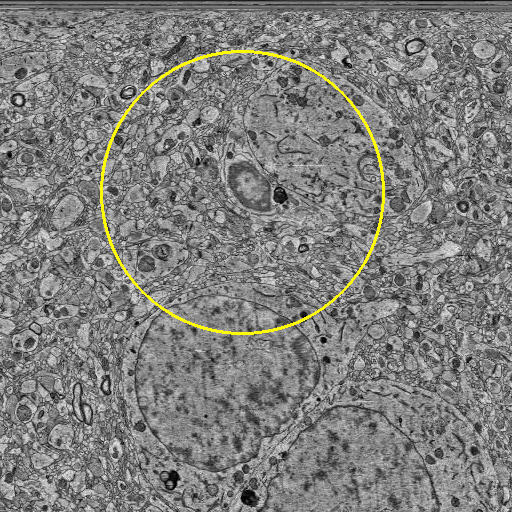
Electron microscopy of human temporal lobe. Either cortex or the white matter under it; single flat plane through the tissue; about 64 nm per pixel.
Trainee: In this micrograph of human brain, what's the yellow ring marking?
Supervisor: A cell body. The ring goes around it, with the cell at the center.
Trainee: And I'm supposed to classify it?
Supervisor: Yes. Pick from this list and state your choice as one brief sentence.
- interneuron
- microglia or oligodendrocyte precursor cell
The cell at the ring's center is a microglial cell or oligodendrocyte precursor cell.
